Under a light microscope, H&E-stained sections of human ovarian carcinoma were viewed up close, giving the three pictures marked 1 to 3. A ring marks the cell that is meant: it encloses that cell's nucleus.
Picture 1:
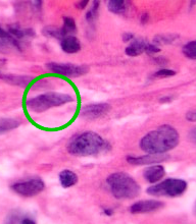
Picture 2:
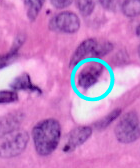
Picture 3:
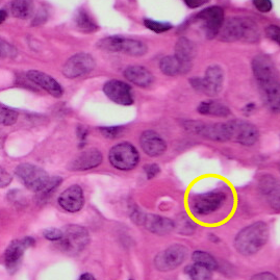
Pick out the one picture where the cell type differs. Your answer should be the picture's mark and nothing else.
1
